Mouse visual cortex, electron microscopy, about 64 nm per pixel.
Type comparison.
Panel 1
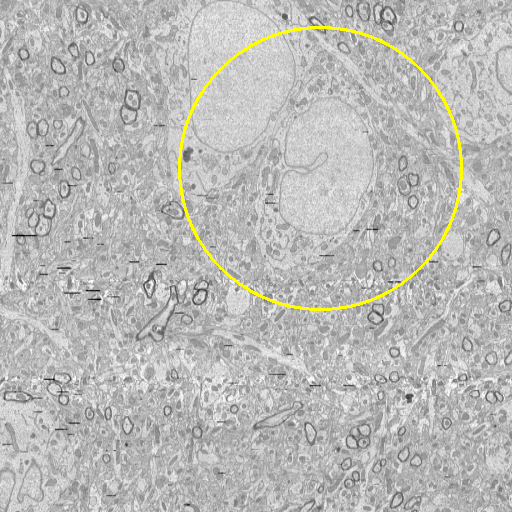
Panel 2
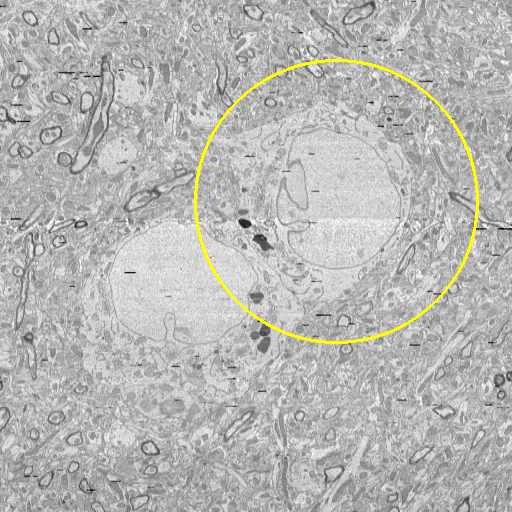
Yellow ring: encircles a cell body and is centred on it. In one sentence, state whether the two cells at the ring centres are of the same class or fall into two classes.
In these panels, the two cells at the ring centres fall into two classes.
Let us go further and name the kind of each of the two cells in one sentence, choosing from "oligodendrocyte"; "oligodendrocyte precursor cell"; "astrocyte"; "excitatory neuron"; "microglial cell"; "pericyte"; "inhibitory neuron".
The ring of the first picture is on an inhibitory neuron, the ring of the second on an excitatory neuron.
